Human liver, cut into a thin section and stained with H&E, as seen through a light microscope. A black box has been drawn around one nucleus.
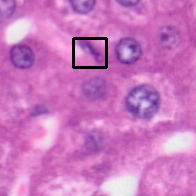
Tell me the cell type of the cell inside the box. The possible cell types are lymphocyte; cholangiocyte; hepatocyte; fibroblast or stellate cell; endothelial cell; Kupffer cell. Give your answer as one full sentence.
The correct response here is that the cell inside the box is an endothelial cell.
